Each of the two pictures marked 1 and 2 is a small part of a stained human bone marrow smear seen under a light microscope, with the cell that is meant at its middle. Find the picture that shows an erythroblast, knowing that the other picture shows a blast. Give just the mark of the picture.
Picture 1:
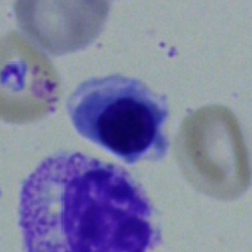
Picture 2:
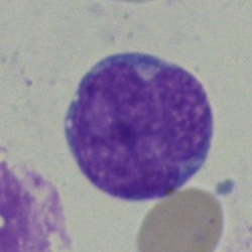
1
